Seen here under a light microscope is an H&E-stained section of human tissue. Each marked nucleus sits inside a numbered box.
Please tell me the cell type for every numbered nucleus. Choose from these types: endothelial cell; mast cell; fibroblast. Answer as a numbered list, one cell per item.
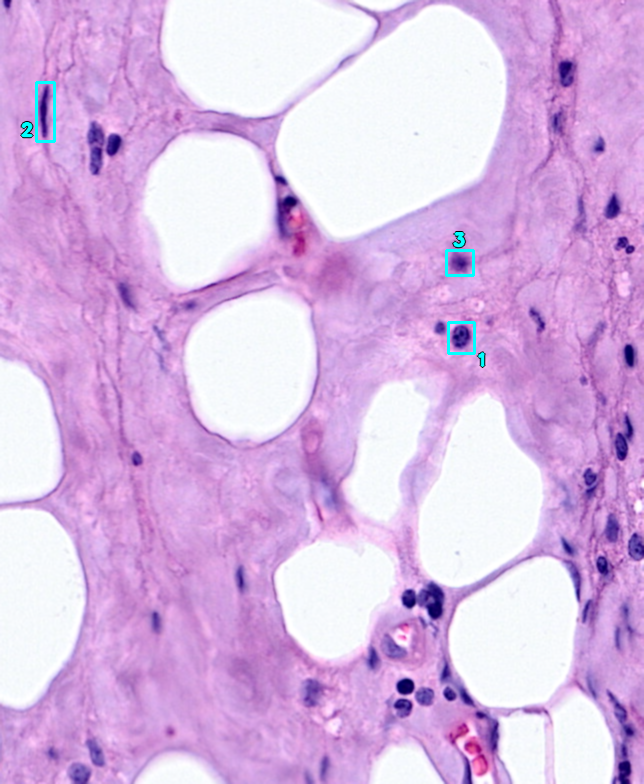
1. mast cell
2. fibroblast
3. mast cell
